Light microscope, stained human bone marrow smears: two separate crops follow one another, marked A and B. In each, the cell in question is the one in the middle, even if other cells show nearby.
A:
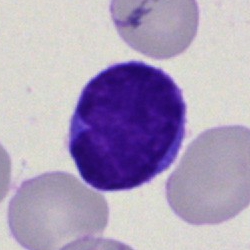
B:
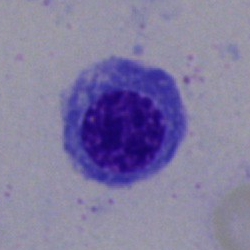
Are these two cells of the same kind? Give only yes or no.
no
